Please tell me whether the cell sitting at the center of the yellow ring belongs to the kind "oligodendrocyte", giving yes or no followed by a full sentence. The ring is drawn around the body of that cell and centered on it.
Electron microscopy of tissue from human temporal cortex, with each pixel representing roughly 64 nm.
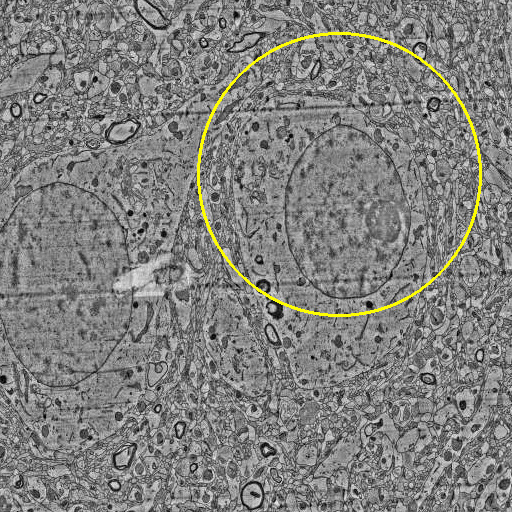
No, the cell at the center of the ring in the picture is of another kind.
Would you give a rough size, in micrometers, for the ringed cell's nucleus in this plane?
In this plane the nucleus is about 11 micrometres by 8.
